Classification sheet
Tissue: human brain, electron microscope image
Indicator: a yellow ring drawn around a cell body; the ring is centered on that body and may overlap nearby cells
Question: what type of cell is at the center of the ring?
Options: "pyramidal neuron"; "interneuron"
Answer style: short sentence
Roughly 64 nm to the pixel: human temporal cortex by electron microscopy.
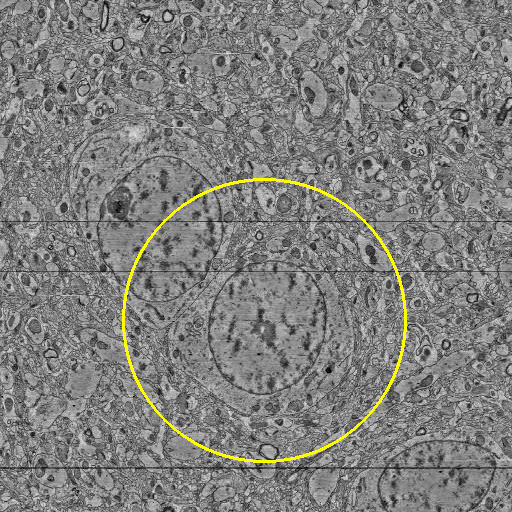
At the ring's center is a pyramidal neuron.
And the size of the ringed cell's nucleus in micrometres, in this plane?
Approximately 9 x 7 micrometres in this plane.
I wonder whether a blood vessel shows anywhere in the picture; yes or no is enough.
No, no blood vessel shows in the picture.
